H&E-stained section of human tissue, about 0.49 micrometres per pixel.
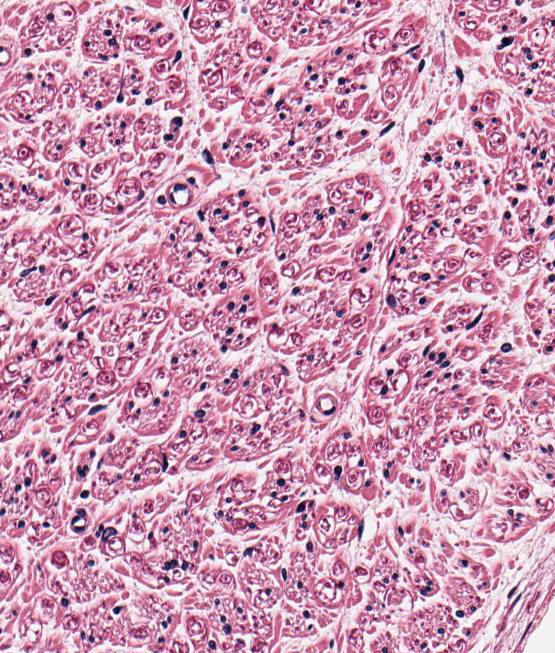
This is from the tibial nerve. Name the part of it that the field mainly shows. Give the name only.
nerve fascicle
